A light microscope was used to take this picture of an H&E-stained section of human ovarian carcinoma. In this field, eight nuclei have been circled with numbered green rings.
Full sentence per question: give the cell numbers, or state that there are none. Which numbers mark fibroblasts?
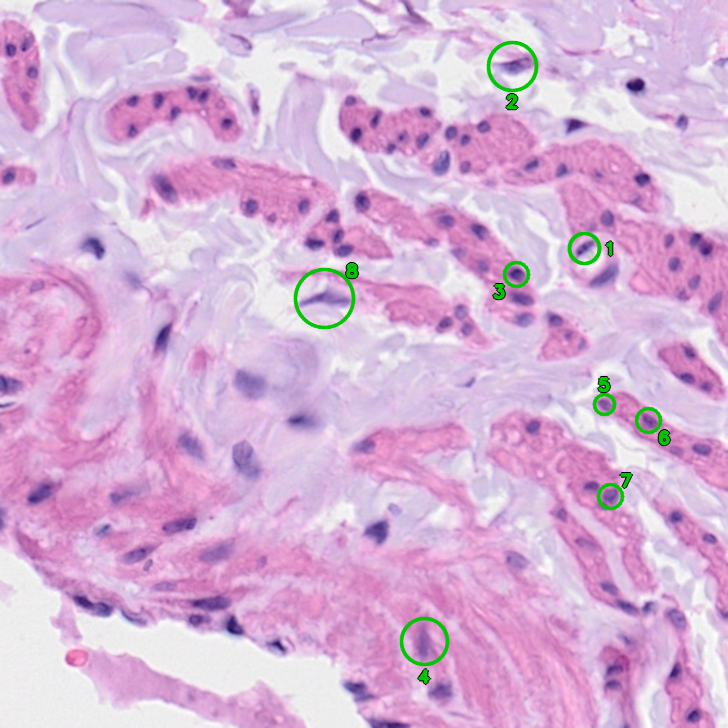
Cells numbered 2 and 8 belong to the group of fibroblasts.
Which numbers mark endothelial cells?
The cell labelled 1 is an endothelial cell, while the remaining numbered cells are not.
